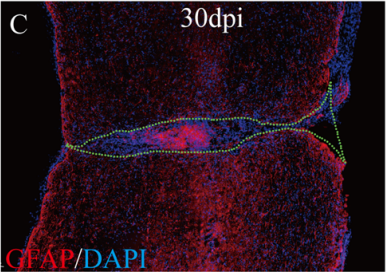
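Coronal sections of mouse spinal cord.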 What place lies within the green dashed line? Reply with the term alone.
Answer: Lesion area.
